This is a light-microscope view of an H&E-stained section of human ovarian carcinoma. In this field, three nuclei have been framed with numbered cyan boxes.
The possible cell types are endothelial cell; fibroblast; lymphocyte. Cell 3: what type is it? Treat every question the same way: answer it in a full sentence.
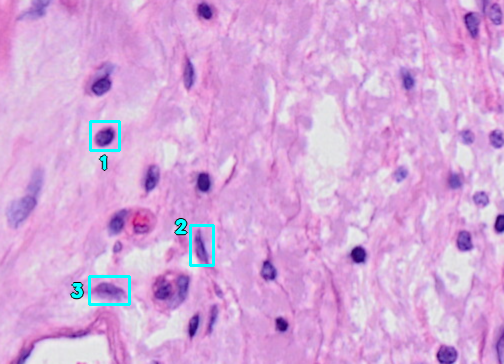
Number 3 is placed on a fibroblast here.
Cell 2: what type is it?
The cell assigned the number 2 is a fibroblast.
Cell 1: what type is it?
Denoted by the label 1 in the section is a lymphocyte.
